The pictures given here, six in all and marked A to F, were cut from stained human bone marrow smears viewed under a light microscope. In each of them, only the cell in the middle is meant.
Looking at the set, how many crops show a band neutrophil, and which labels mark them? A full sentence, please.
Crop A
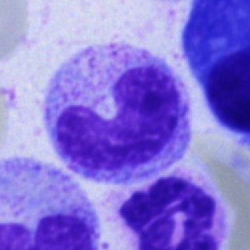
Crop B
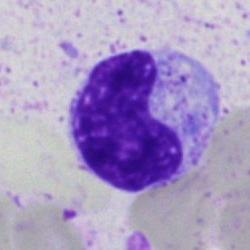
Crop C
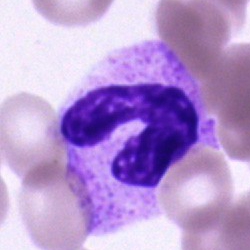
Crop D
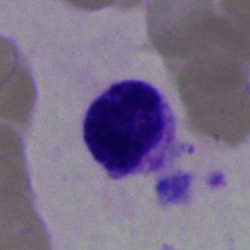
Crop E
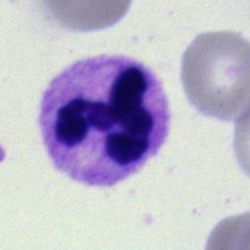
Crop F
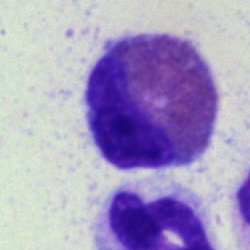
So, in total, two crops show band neutrophils: A and C.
